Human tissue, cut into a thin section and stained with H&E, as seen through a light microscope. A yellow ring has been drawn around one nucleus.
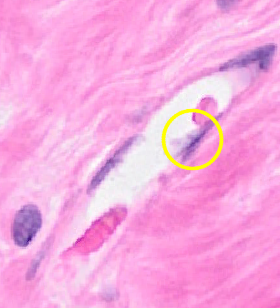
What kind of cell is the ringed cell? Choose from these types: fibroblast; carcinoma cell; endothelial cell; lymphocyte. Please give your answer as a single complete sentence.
Cytologically, the ringed cell is to be regarded as an endothelial cell.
